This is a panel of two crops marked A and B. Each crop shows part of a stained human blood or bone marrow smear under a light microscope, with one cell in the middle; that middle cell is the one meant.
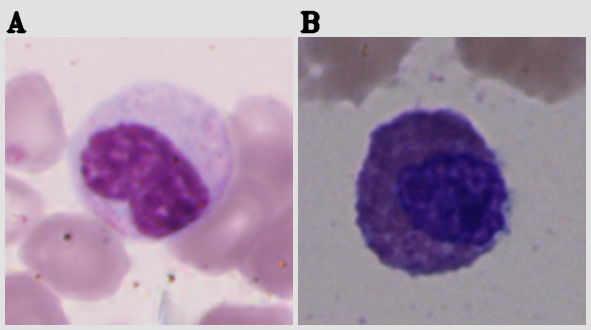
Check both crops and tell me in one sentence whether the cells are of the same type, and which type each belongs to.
No, crop A represents a metamyelocyte, and crop B represents an eosinophil.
